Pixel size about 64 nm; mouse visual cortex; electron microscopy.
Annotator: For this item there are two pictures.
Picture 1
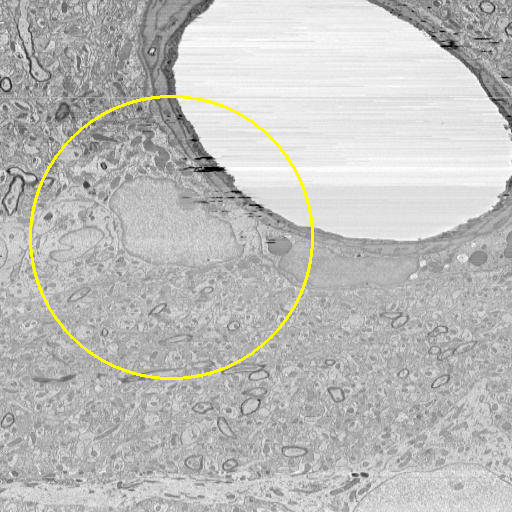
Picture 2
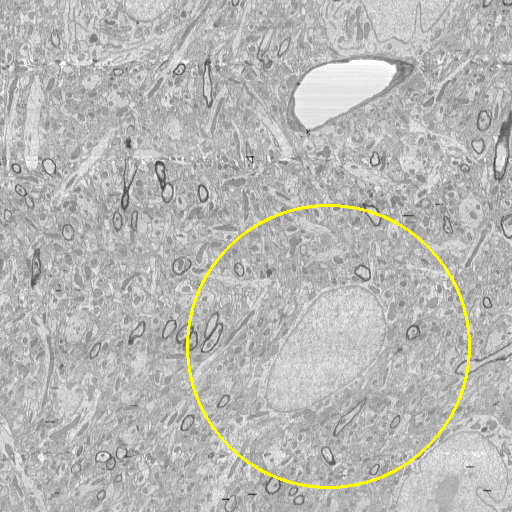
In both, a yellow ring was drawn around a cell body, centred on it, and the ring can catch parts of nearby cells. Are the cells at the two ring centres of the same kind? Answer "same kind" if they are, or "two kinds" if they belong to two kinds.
same kind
